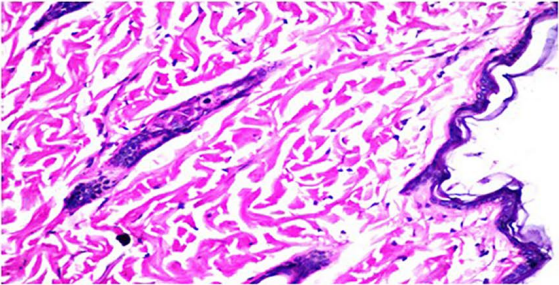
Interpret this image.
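This is skin, with a thin, folded, purple-staining stratified epidermis along the right edge and a dermis of wavy, interwoven, pink collagen bundles beneath it. A hair follicle runs obliquely through the dermis as a cord of purple-nucleated cells. Scattered small dark nuclei lie between the collagen bundles.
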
